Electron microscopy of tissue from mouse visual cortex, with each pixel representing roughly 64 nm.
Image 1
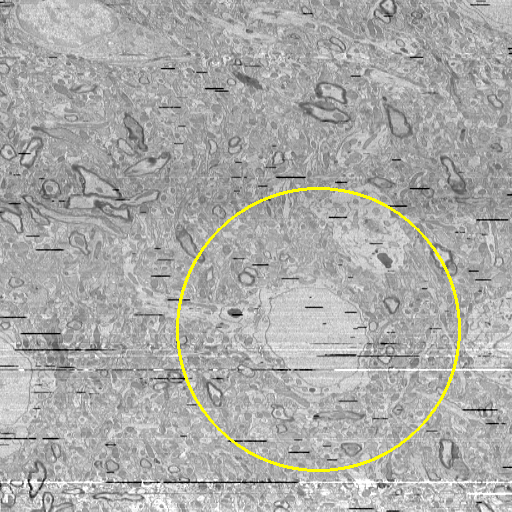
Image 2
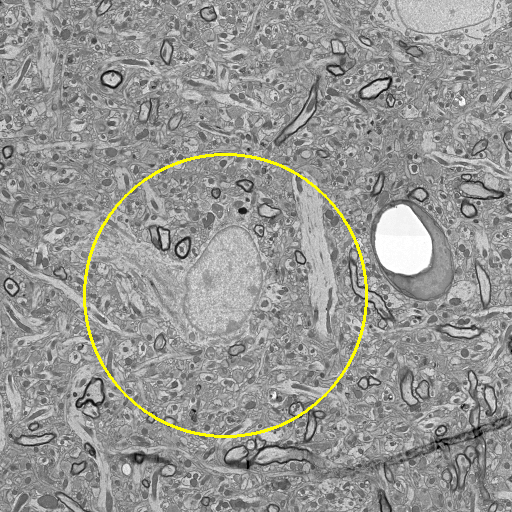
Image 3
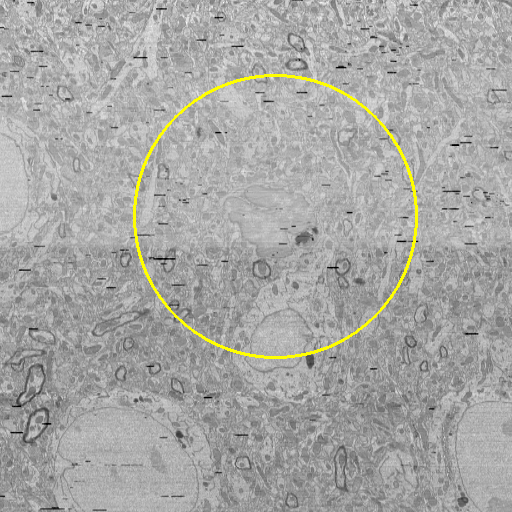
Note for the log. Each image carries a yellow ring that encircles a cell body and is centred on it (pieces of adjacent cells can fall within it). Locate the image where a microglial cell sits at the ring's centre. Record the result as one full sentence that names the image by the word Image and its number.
Image 3 has the wanted cell sitting at the centre of its ring.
